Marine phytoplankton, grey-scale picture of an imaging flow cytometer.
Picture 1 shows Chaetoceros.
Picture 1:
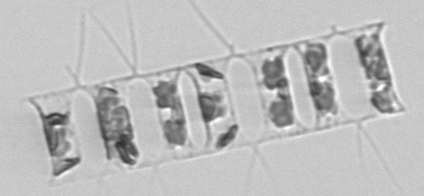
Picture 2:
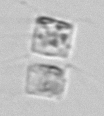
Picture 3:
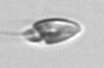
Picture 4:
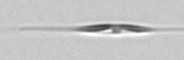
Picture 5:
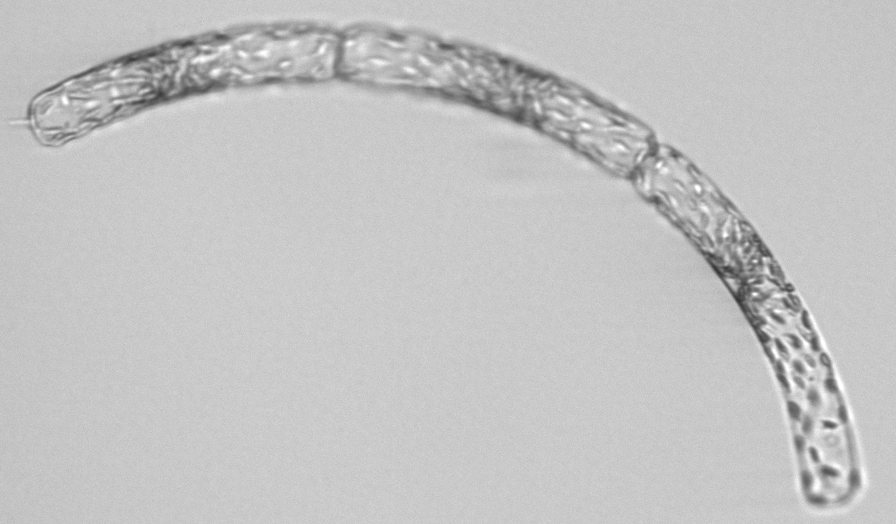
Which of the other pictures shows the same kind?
Picture 2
